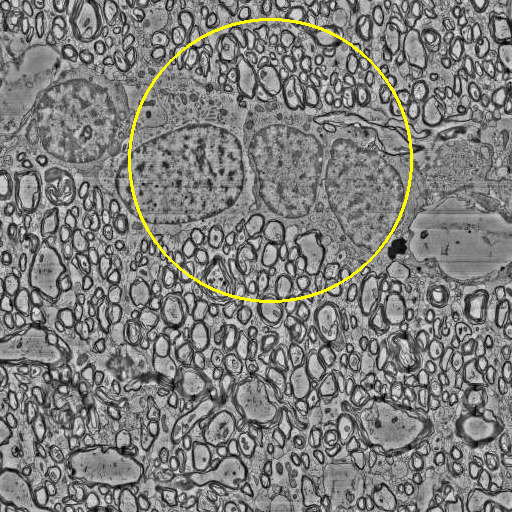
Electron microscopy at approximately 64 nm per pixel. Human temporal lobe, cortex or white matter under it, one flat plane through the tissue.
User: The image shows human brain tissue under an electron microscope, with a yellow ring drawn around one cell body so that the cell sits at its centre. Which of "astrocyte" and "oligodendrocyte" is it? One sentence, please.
At the centre of the ring sits an oligodendrocyte.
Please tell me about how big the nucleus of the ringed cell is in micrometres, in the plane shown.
The nucleus has a long axis of about 6 micrometres and a short axis of about 5 micrometres in this plane.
